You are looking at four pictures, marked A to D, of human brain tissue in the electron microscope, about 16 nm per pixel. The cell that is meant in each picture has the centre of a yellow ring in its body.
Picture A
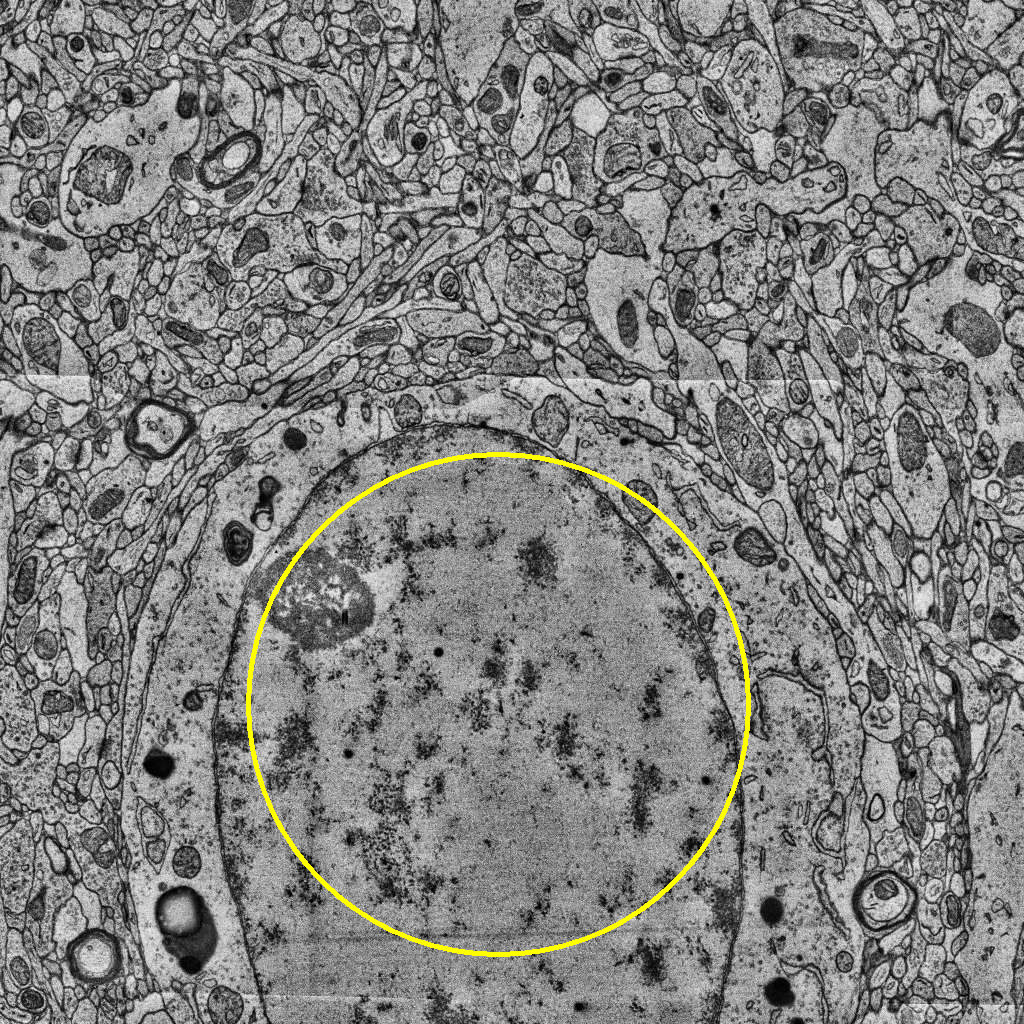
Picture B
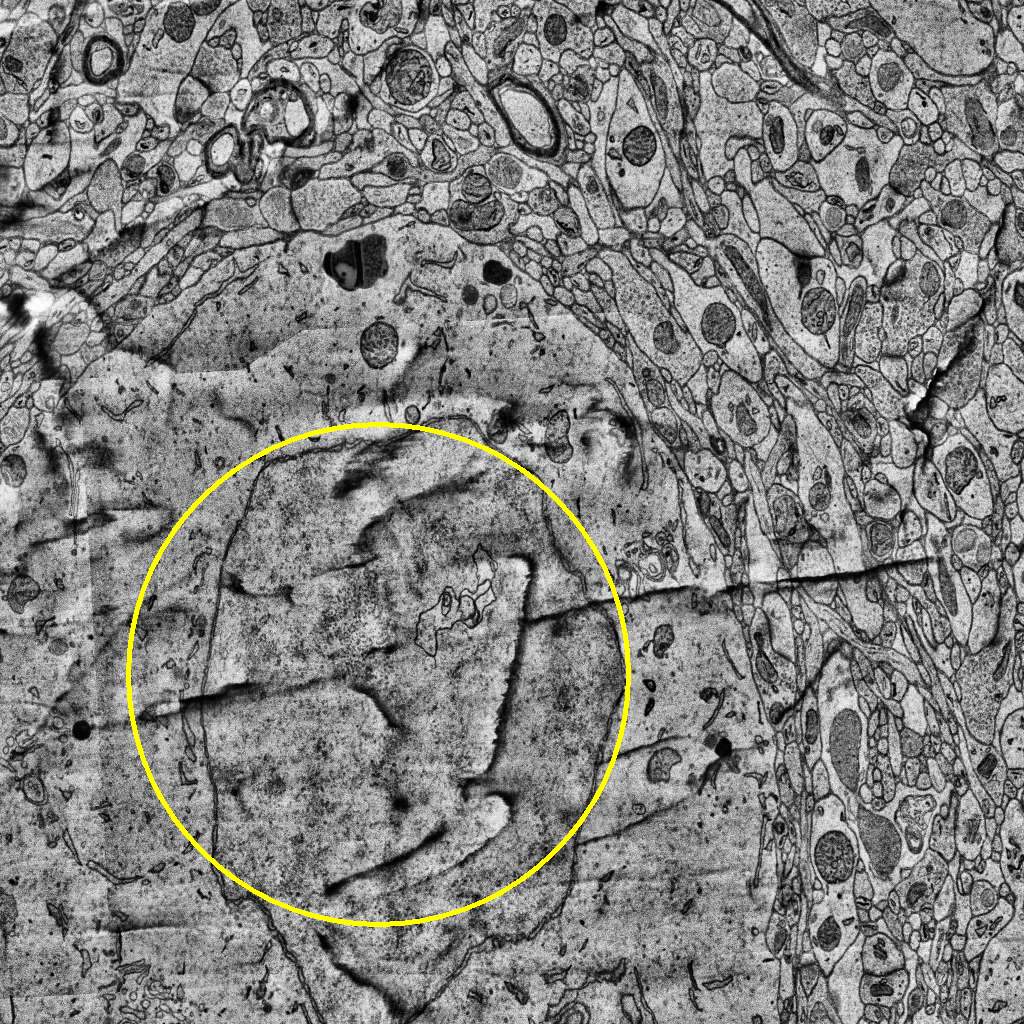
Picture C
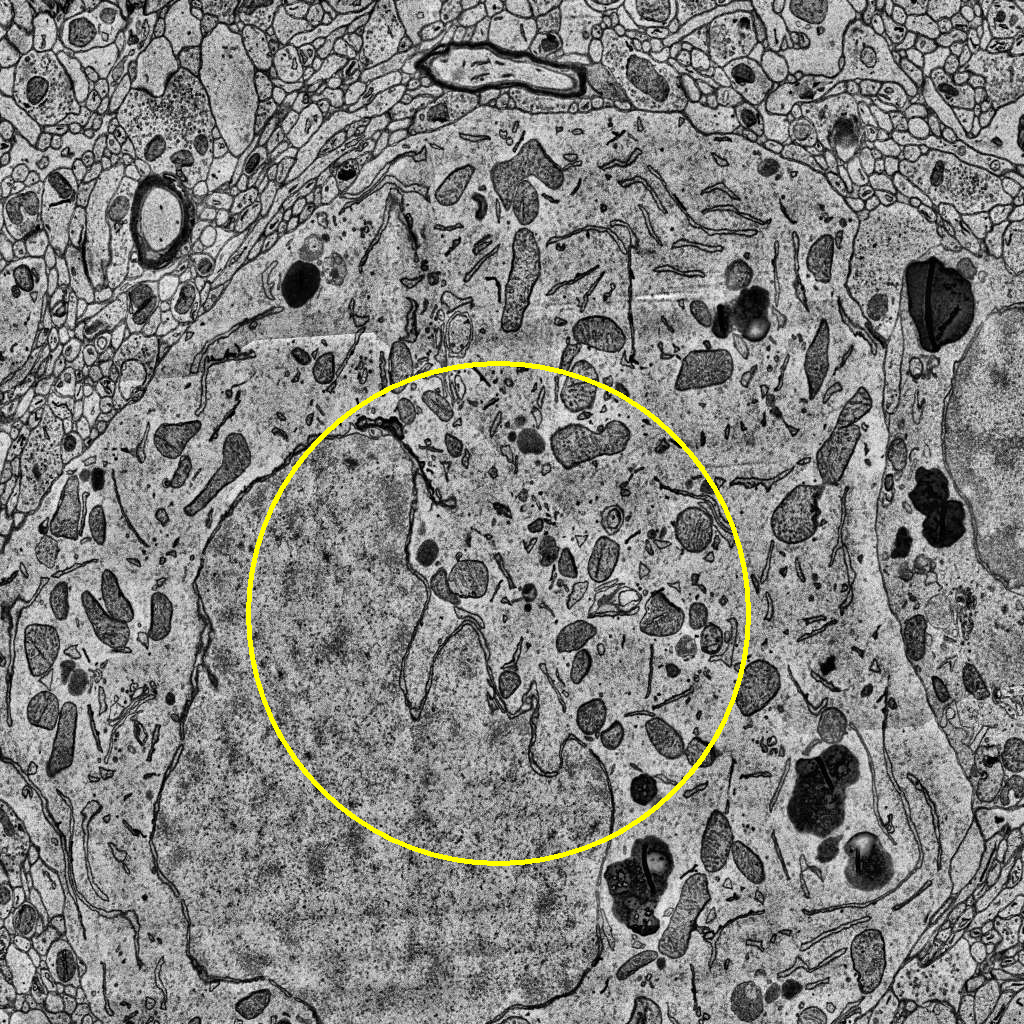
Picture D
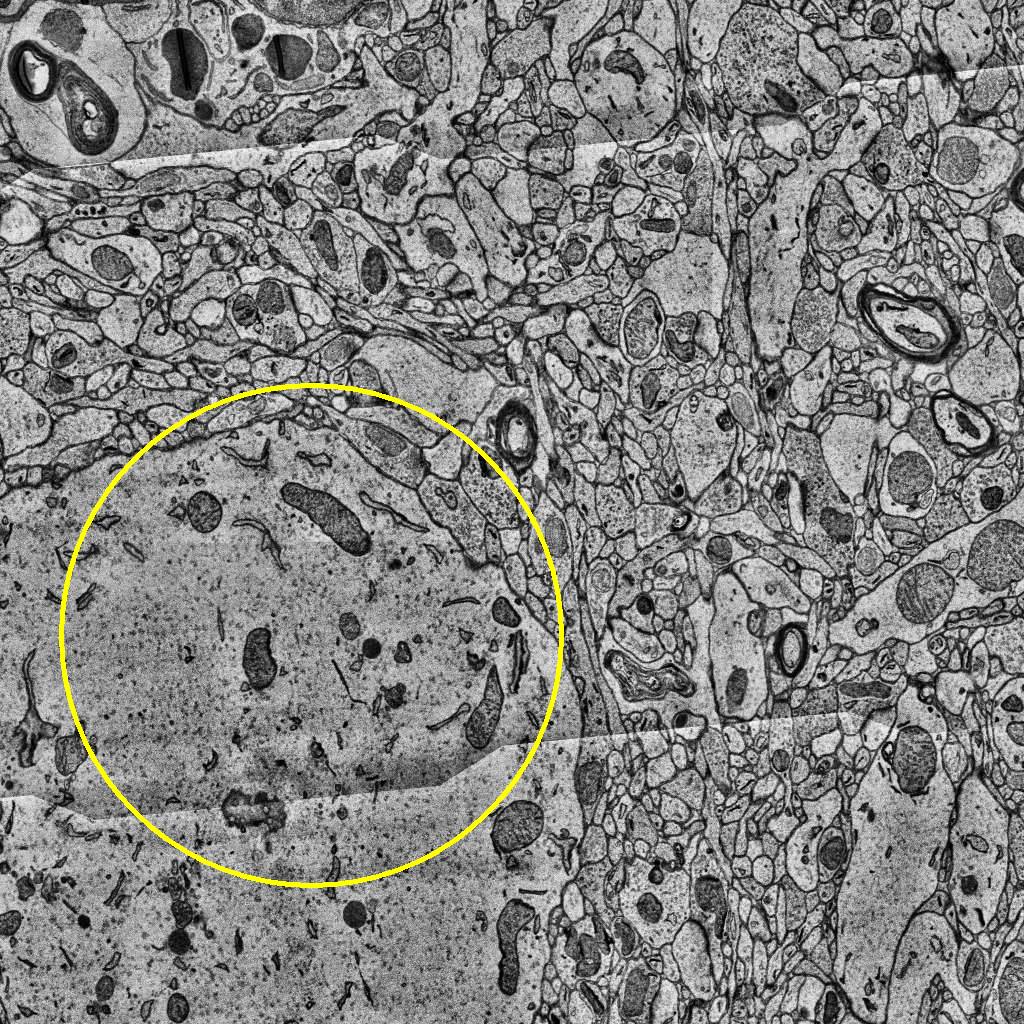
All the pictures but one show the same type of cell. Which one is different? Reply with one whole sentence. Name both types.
The different one is picture C; it shows an interneuron, whereas all the others show pyramidal neurons.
